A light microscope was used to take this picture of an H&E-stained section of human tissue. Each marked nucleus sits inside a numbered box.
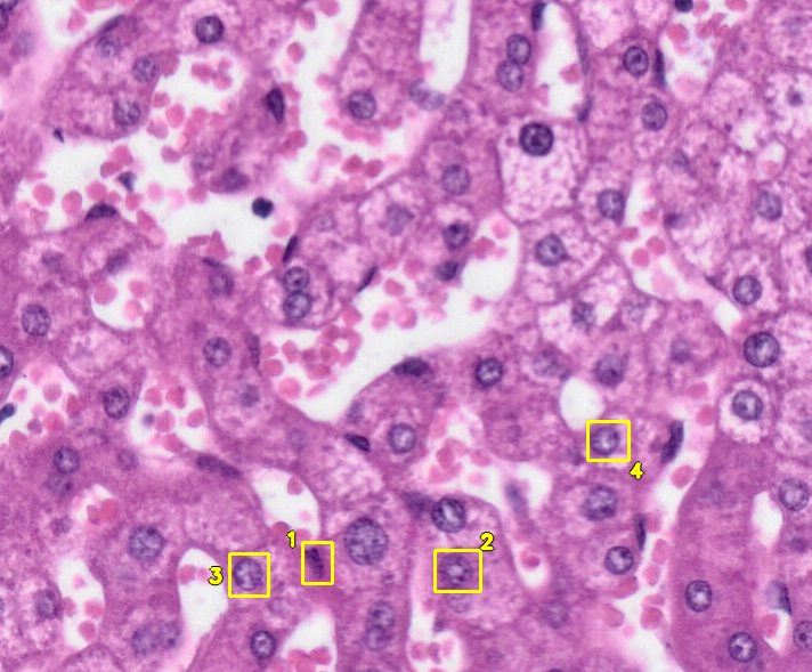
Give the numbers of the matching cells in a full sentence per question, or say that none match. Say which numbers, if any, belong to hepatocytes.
In short, the numbered cells 2, 3 and 4 are hepatocytes.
